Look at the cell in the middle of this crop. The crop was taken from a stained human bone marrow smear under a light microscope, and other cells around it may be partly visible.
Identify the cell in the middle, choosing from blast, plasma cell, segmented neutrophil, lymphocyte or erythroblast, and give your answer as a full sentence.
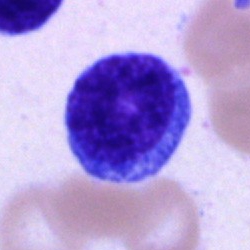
Framed in the middle of the crop is a blast.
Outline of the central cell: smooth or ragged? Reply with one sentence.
Thanks for asking; the cell edge is smooth and has no projections.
